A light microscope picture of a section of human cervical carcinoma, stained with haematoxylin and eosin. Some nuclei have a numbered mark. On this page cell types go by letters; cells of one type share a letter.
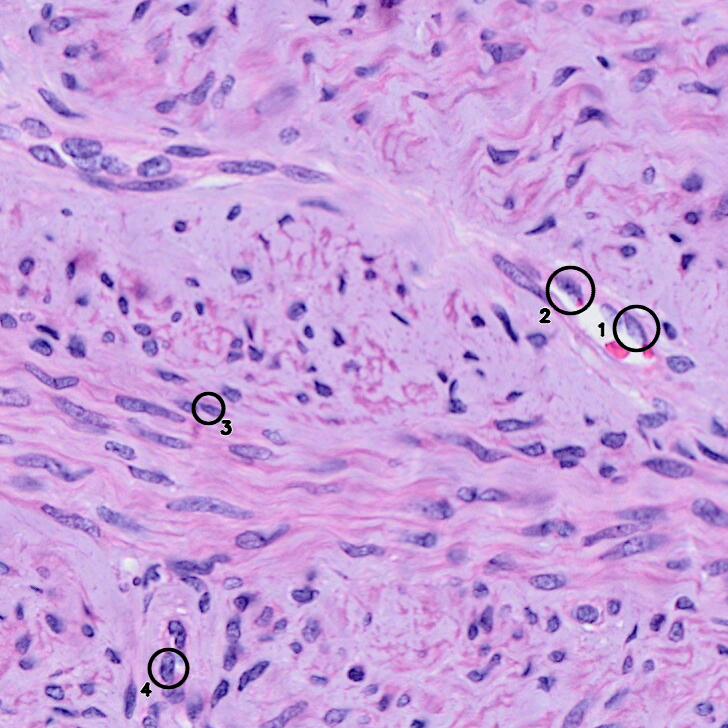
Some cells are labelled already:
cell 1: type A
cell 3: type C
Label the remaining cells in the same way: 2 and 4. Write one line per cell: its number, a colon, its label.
2: type A
4: type A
